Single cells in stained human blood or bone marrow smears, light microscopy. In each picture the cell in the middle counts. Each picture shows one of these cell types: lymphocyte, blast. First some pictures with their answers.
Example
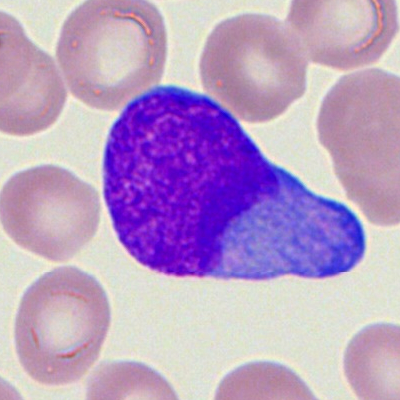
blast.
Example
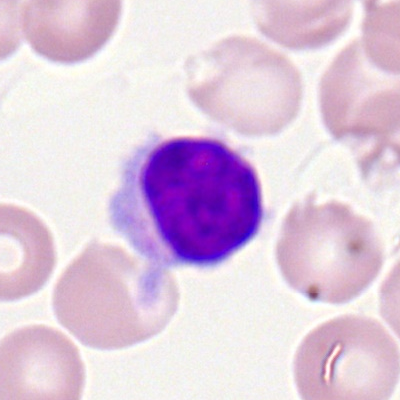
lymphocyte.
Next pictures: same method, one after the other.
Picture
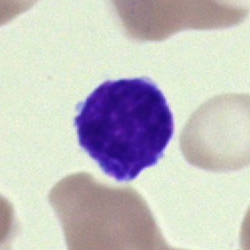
lymphocyte.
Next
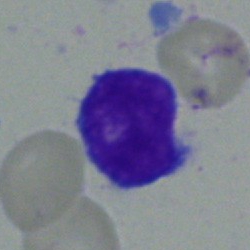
blast.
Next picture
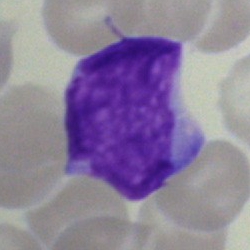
blast.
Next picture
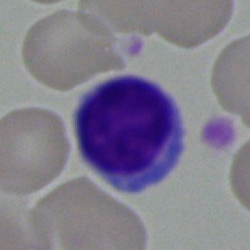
lymphocyte.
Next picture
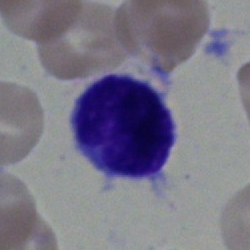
lymphocyte.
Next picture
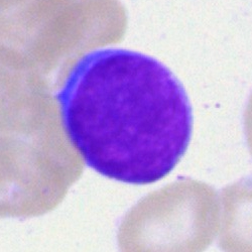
blast.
